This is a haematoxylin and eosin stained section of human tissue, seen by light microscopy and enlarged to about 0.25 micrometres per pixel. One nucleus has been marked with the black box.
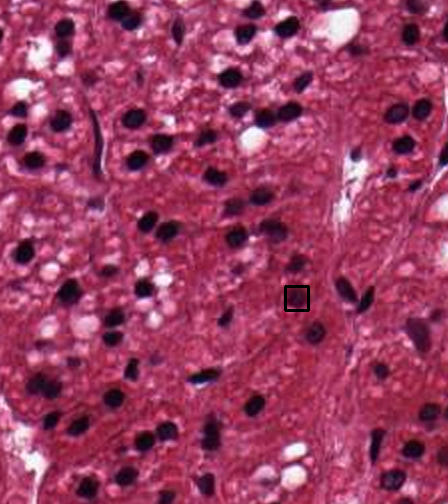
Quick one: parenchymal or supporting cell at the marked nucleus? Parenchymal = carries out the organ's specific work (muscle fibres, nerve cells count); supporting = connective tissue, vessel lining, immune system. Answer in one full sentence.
Within a parenchymal cell, namely an adrenal cortical cell, sits the marked nucleus.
